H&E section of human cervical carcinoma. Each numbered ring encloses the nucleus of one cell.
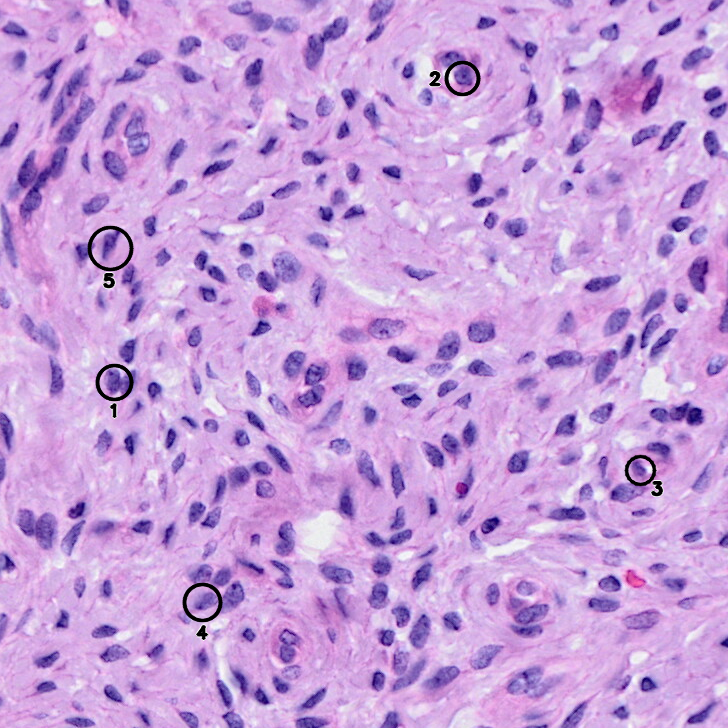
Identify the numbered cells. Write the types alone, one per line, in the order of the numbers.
fibroblast
endothelial cell
endothelial cell
fibroblast
fibroblast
